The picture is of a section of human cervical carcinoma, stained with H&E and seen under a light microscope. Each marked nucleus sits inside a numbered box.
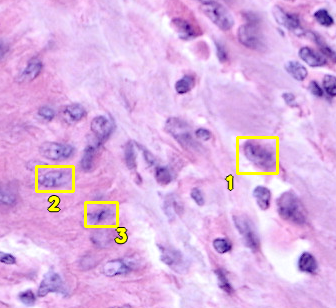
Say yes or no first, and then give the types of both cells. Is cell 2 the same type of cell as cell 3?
Yes, both are smooth muscle cells.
